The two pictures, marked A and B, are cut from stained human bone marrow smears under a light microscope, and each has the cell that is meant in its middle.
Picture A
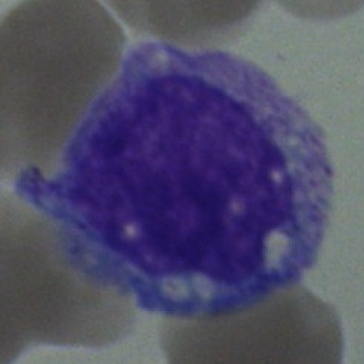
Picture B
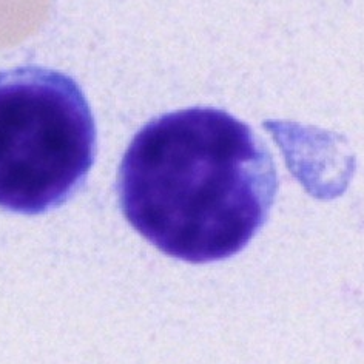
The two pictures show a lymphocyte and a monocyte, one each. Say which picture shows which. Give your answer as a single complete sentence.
Picture A is of a monocyte, and picture B is of a lymphocyte.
